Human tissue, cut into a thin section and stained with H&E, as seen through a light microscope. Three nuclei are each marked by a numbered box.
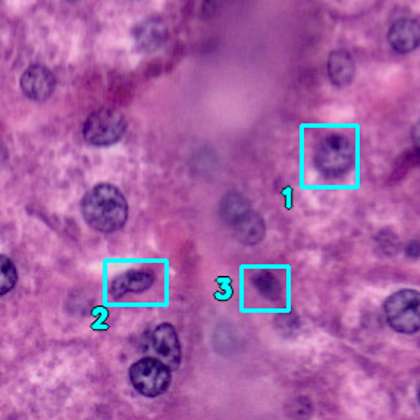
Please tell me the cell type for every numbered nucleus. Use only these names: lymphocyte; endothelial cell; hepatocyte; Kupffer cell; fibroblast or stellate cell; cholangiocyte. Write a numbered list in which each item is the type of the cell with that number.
1. hepatocyte
2. Kupffer cell
3. fibroblast or stellate cell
